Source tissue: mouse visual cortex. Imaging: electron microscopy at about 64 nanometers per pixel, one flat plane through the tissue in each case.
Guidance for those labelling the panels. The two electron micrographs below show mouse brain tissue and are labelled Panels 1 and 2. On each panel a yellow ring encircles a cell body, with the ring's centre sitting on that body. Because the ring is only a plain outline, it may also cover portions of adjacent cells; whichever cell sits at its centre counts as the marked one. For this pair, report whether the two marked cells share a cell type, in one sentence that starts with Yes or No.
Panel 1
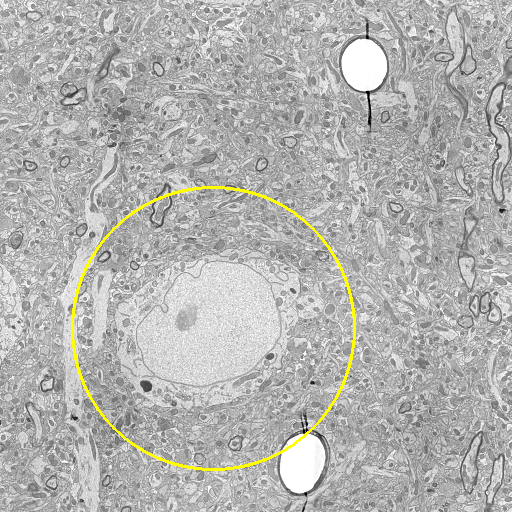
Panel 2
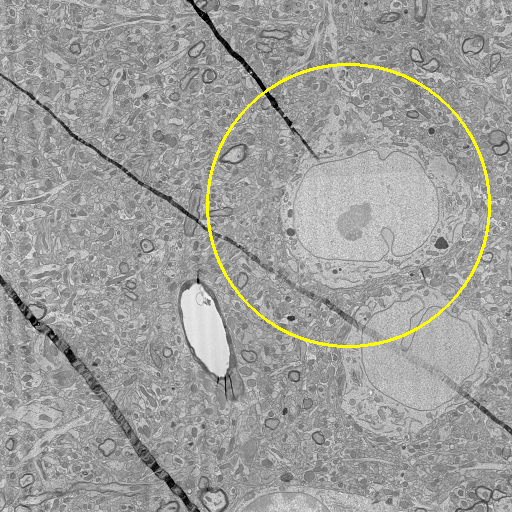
Yes, in Panel 1 and Panel 2 the marked cells at the ring centres share one type.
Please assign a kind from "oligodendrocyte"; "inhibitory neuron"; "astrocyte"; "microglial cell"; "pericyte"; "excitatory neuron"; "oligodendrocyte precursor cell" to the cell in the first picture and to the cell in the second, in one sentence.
In each picture the ringed cell is an excitatory neuron.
